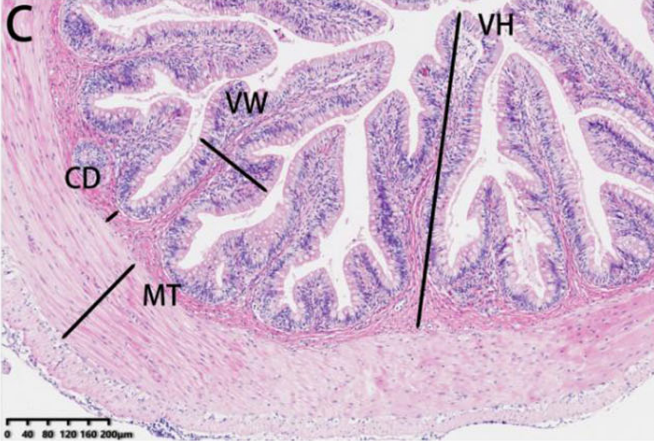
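Intestinal wall with tall, branching villi projecting into the lumen, each lined by a single layer of columnar epithelium with purple nuclei aligned toward the base and paler apical cytoplasm. Pale goblet-like cells are scattered among the epithelial cells, and each villus has a narrow core of connective tissue. Beneath the mucosa lies a thick, homogeneous pink band of smooth muscle, bounded outside by a thin loose layer. The epithelial lining of the folds appears continuous.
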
